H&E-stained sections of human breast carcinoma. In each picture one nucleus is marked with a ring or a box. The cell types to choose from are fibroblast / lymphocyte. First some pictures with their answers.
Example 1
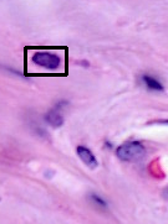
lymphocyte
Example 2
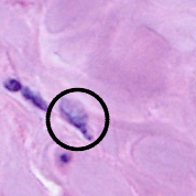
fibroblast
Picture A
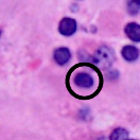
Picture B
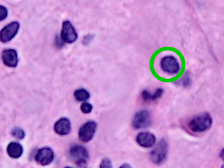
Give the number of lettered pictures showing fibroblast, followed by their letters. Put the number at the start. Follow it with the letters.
0, none of them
